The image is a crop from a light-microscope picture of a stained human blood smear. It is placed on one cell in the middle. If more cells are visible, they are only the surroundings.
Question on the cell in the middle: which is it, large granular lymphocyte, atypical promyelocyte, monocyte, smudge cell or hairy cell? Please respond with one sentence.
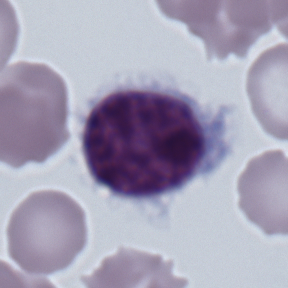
As for the central cell, it is a hairy cell.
